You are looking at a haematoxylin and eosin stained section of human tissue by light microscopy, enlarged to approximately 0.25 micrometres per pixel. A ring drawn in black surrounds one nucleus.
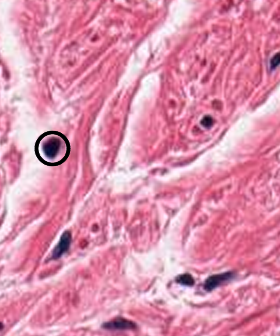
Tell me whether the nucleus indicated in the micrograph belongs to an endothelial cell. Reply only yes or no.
no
